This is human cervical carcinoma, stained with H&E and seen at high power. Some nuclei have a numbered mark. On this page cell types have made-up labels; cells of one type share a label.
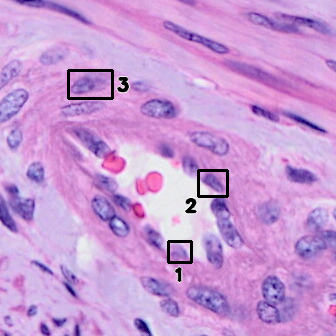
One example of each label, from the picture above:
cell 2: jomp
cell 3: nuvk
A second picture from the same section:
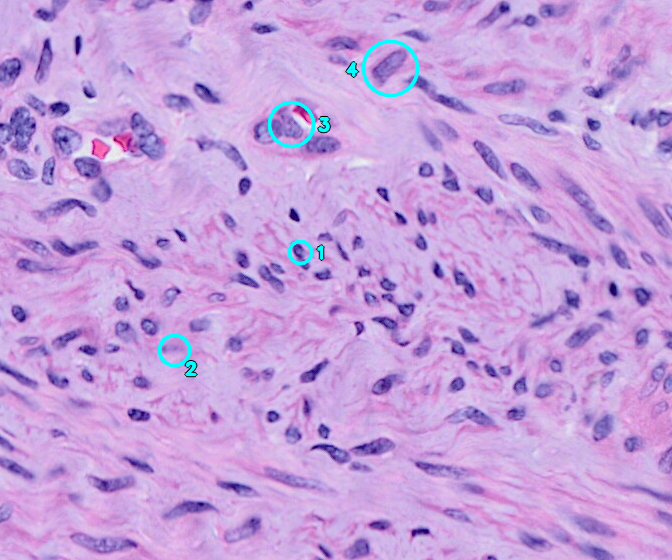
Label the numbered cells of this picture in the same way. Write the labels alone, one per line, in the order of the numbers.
nuvk
nuvk
jomp
nuvk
